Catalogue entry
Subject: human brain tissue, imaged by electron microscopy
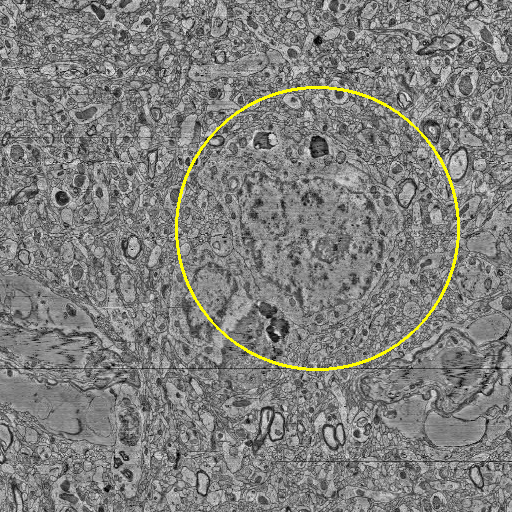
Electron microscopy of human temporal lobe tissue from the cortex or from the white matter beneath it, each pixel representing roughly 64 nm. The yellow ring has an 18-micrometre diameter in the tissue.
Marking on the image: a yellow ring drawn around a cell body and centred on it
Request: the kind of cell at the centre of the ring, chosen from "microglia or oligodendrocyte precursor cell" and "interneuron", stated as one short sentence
The ring has an interneuron at its centre.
